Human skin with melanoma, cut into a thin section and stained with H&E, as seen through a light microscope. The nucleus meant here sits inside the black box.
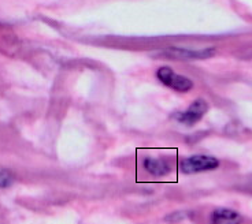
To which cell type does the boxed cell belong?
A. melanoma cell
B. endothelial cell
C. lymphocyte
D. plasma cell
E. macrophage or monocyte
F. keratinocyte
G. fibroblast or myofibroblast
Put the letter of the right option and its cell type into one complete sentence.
The right option is D, the boxed cell being a plasma cell.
